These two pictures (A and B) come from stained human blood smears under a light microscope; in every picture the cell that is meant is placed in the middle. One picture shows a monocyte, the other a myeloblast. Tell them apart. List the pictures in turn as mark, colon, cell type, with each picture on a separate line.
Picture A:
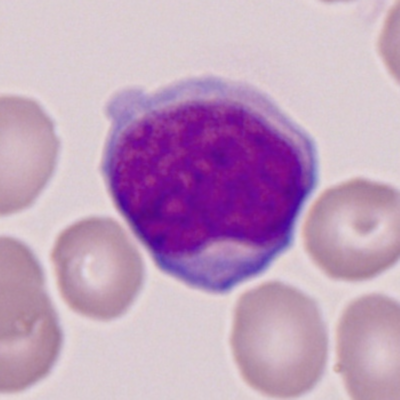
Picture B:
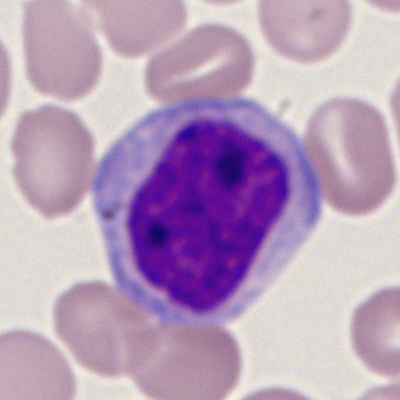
A: myeloblast
B: monocyte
